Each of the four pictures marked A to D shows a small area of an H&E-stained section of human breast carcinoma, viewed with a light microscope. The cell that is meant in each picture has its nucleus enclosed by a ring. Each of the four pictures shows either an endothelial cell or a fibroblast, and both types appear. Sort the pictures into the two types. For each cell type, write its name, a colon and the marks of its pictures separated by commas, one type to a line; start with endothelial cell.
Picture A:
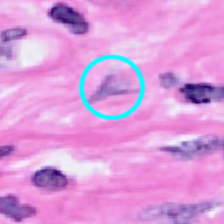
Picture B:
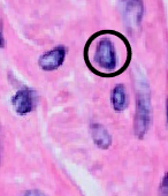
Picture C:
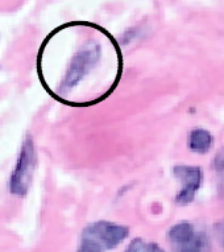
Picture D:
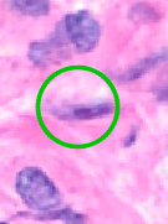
endothelial cell: B
fibroblast: A, C, D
